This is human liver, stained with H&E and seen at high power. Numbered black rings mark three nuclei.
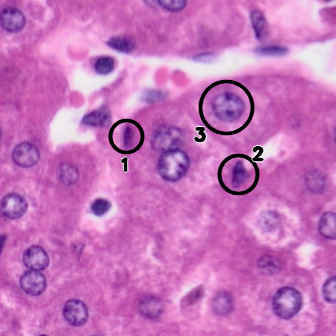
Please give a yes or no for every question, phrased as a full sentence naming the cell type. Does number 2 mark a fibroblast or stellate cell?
Yes, the cell marked by the number 2 is a fibroblast or stellate cell.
